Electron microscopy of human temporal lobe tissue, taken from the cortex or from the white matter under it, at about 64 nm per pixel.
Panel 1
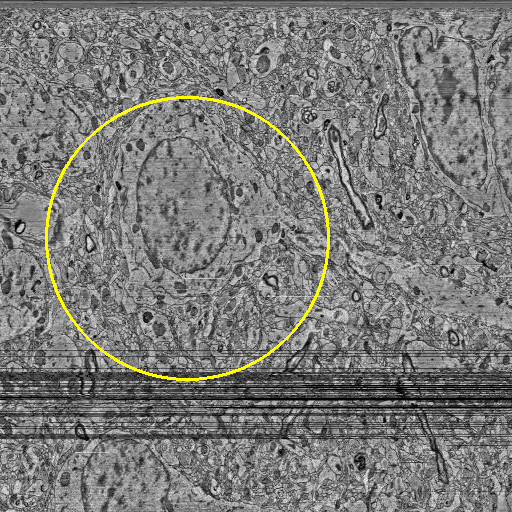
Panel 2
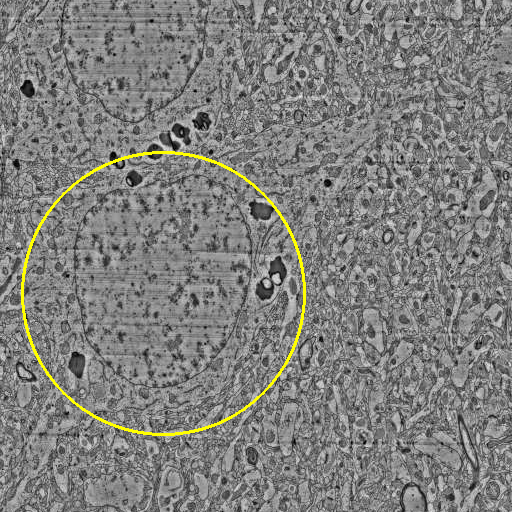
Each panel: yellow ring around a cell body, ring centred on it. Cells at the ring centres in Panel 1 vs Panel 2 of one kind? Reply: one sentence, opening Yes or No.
Yes, Panel 1 and Panel 2 have cells of one kind at the ring centres.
